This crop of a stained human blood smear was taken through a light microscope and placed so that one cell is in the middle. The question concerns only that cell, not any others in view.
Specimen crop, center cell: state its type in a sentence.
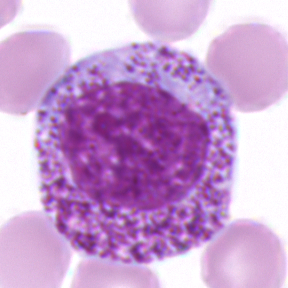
Of the cells in this crop, the central one is a myelocyte.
